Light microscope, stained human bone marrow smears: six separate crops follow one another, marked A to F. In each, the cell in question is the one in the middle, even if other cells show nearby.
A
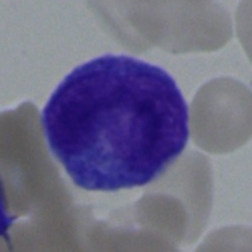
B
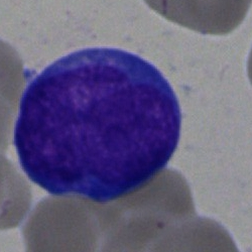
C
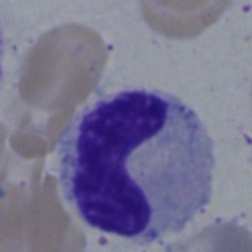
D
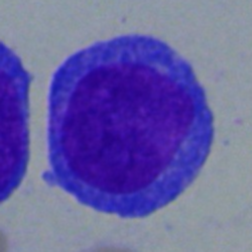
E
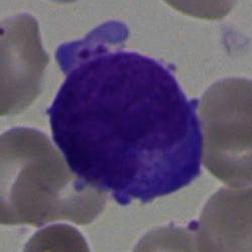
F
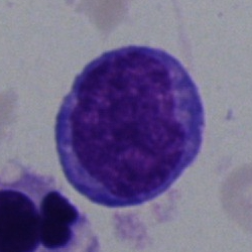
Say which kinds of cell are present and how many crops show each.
blast: 5
band neutrophil: 1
